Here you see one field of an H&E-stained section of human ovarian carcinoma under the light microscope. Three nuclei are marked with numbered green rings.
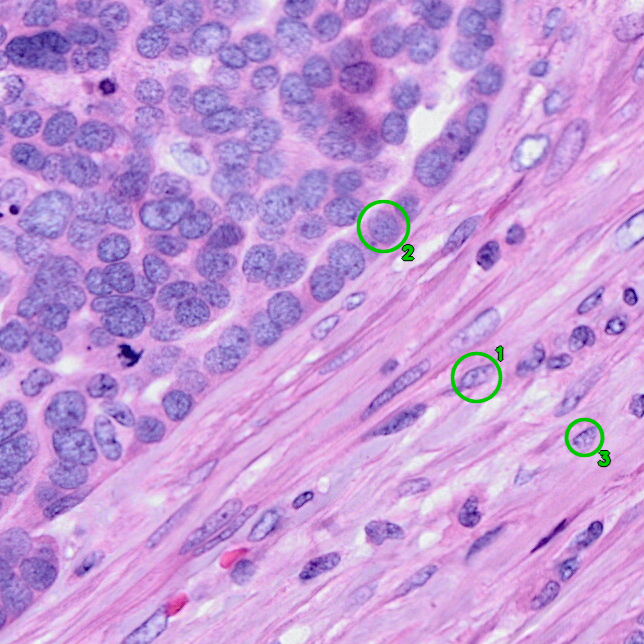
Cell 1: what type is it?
fibroblast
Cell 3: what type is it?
fibroblast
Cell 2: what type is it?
carcinoma cell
